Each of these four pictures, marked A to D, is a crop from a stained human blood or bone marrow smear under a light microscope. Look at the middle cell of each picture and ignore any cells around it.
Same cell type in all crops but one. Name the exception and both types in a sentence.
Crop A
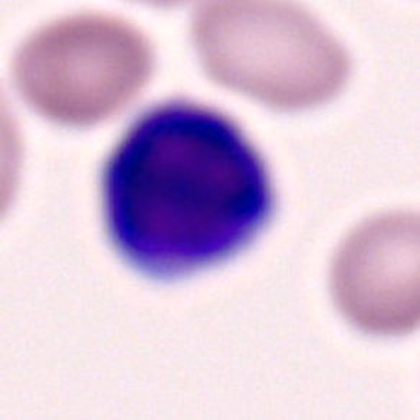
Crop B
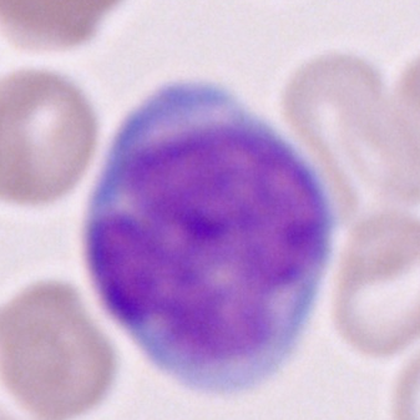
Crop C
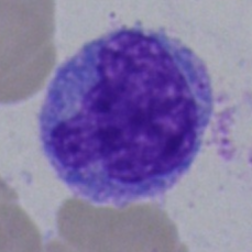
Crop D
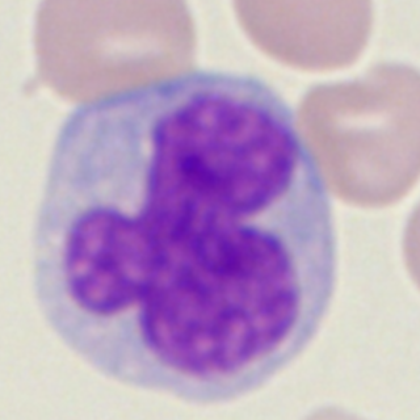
Unlike the other crops, which all show monocytes, crop A is a lymphocyte.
